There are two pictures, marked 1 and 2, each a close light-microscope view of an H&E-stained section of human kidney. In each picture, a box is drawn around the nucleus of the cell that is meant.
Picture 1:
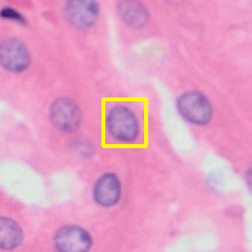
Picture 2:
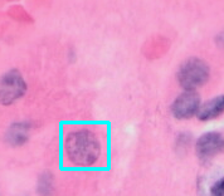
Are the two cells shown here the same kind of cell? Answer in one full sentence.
Yes, both are proximal tubule cells.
